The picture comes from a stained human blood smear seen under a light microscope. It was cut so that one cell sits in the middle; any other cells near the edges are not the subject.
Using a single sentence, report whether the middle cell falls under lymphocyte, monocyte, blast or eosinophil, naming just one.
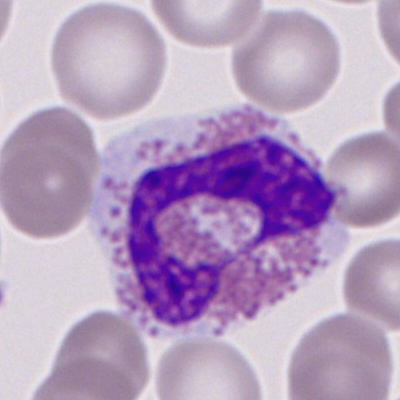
The cell the crop is centered on is an eosinophil.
